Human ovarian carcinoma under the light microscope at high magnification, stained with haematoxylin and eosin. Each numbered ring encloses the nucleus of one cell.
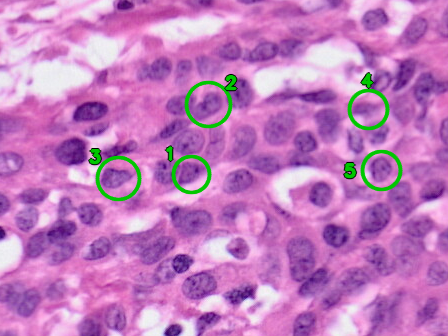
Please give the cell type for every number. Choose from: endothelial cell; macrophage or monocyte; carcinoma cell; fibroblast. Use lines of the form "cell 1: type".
cell 1: carcinoma cell
cell 2: carcinoma cell
cell 3: macrophage or monocyte
cell 4: carcinoma cell
cell 5: macrophage or monocyte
